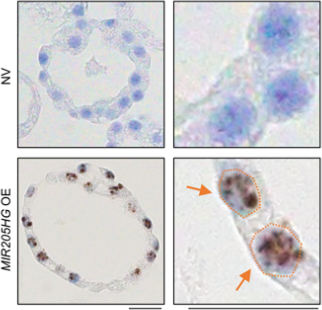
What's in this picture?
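The nuclei are round and stained blue, filling much of each cell, with pale cytoplasm around them. In the lower images many nuclei carry clustered dark brown-black dots, and in the enlarged view the orange dotted lines circle two such nuclei. In the upper images the nuclei are plain blue without these dots.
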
